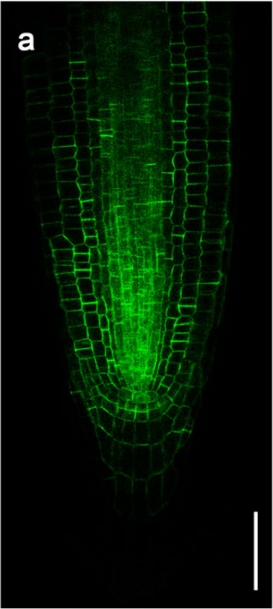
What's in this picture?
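This is a lengthwise optical section through the meristematic zone of a root, seen in green alone. Cells are arranged in orderly files that curve inward toward a rounded tip at the bottom. The cells are small, short and roughly rectangular, packed without gaps. Green outlines the cells, with stronger short lines on many of the cross walls between cells in a file. The central region is brighter and more diffuse than the outer layers, and the cap region at the tip is faint.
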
